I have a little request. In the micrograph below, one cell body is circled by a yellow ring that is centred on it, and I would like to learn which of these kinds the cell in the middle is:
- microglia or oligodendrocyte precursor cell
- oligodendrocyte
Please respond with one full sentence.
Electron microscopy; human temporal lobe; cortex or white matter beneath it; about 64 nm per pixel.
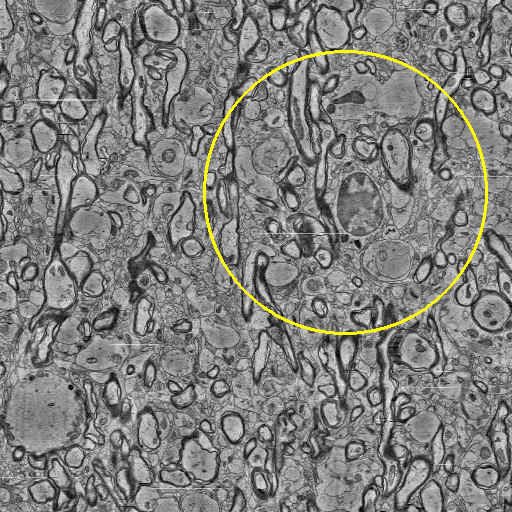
The cell sitting in the middle of the yellow ring in the micrograph is a microglial cell or oligodendrocyte precursor cell.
